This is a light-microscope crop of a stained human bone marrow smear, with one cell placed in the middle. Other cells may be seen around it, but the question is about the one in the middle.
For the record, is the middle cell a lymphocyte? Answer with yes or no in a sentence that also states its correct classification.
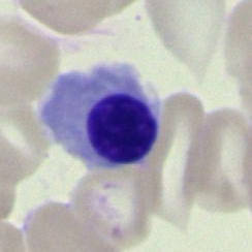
No, mark the middle cell as an erythroblast, not a lymphocyte.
